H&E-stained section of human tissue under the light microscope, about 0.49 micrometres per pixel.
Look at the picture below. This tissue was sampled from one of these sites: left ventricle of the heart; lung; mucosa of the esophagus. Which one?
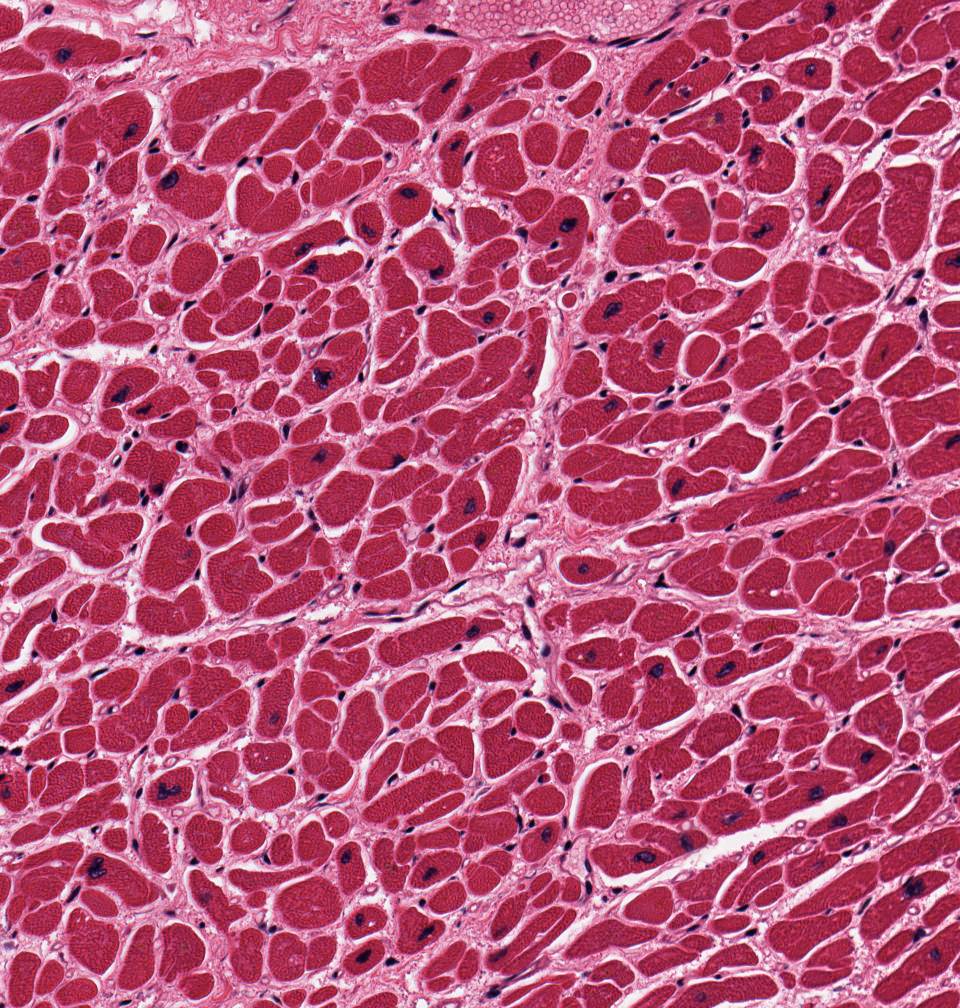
left ventricle of the heart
